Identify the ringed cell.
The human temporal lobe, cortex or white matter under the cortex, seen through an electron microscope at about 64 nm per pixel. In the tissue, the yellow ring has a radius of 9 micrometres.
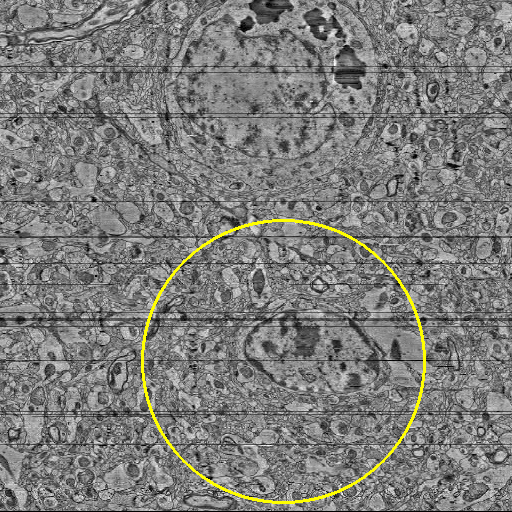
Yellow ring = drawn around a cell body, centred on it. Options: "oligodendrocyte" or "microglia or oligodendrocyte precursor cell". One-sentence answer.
What the ring is centred on is a microglial cell or oligodendrocyte precursor cell.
